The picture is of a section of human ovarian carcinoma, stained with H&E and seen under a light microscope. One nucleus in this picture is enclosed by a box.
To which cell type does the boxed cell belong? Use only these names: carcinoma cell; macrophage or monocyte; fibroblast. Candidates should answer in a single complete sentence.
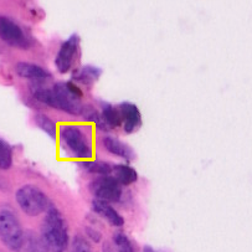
It is as a carcinoma cell that the boxed cell is classified.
